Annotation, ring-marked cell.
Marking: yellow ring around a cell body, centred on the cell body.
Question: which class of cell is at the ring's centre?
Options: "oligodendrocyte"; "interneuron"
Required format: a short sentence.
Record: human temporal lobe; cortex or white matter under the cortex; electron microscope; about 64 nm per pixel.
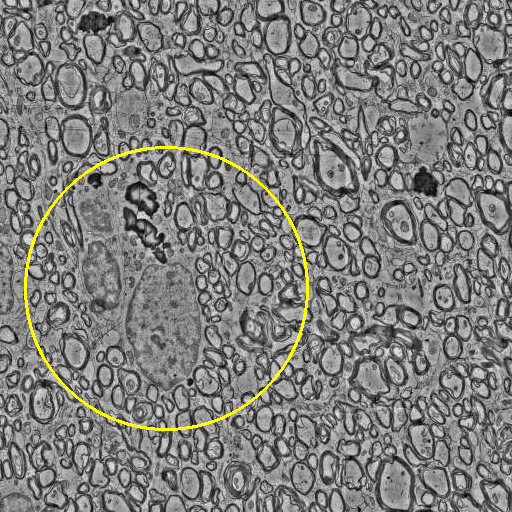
At the ring's centre is an oligodendrocyte.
